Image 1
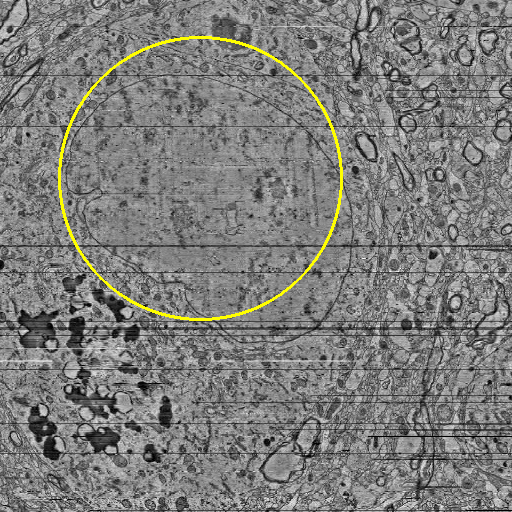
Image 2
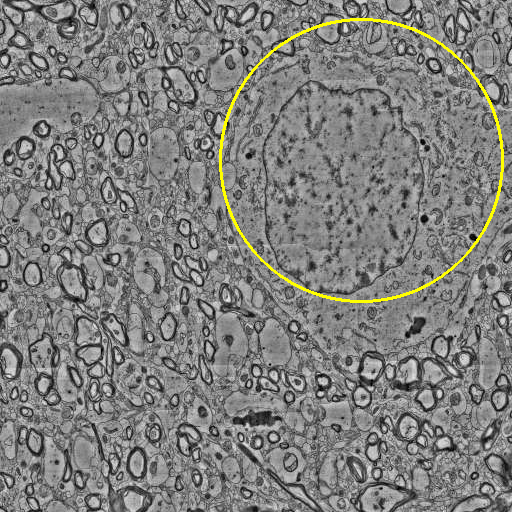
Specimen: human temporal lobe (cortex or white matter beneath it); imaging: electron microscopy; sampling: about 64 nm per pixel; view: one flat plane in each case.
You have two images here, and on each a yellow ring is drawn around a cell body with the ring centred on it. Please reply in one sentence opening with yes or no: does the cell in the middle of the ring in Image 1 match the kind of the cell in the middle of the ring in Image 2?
Yes, the two images show cells of one kind at the centres of their rings.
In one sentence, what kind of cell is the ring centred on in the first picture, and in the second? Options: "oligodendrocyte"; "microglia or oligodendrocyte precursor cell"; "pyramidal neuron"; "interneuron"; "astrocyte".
Each one of the two ringed cells is a pyramidal neuron.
